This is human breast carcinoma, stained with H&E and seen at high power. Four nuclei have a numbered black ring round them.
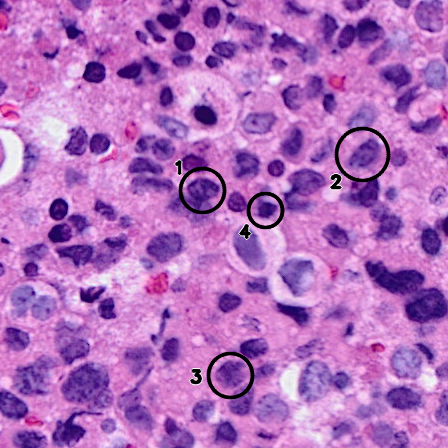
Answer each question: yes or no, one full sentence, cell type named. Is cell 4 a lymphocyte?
Yes, the cell given number 4 is a lymphocyte.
